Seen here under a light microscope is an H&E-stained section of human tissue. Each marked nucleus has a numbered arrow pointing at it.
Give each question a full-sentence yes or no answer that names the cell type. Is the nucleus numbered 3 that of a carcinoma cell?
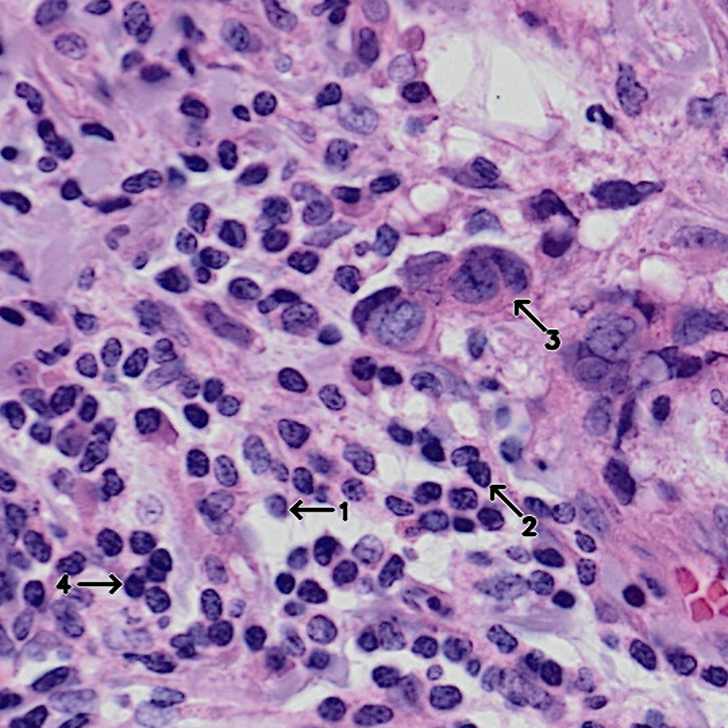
Yes, looking at number 3, that cell is a carcinoma cell.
